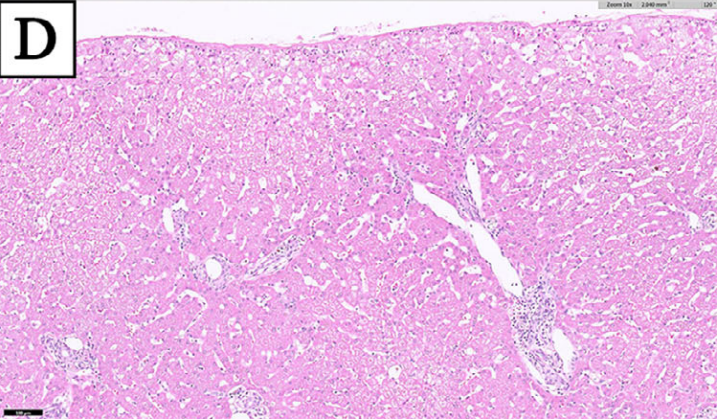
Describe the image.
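This is liver, with plates of polygonal hepatocytes that have pink cytoplasm and round central nuclei, separated by narrow pale sinusoids. A thin capsule runs along the upper edge.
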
